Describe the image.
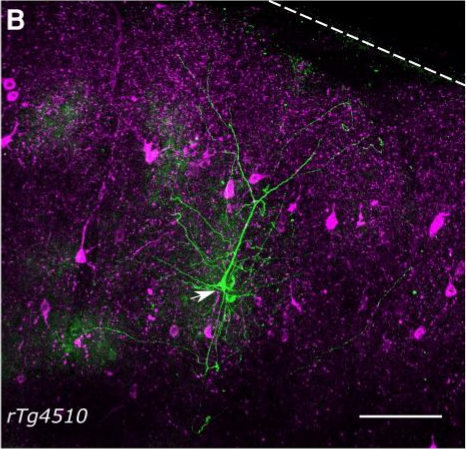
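A single cortical pyramidal neuron is filled in green, with a triangular cell body from which one long dendrite rises toward the tissue surface and shorter dendrites spread out around the base. Around it the tissue holds many bright magenta cell bodies, several of them also triangular with a rising process, scattered among fine magenta dots. The dashed line at the upper right marks the surface of the tissue, beyond which the image is black.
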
